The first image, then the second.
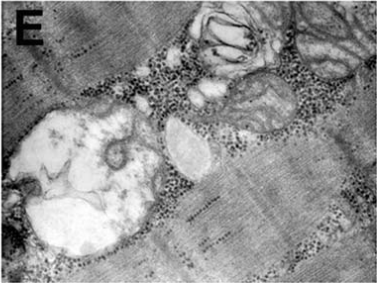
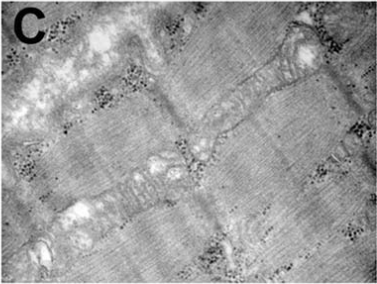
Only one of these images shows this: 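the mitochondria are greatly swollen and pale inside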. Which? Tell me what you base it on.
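The first image. First image: a large rounded, mostly empty organelle fills the lower left area. Second image: the organelles are long and narrow, squeezed between the myofibrils.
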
